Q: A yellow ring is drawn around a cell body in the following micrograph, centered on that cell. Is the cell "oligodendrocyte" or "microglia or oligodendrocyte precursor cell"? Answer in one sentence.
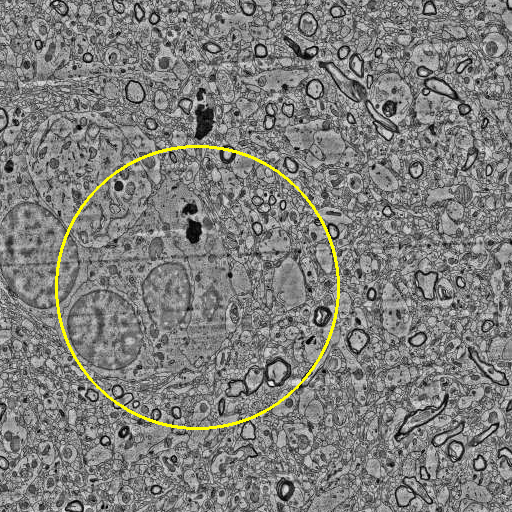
The cell in the center of the ring is an oligodendrocyte.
